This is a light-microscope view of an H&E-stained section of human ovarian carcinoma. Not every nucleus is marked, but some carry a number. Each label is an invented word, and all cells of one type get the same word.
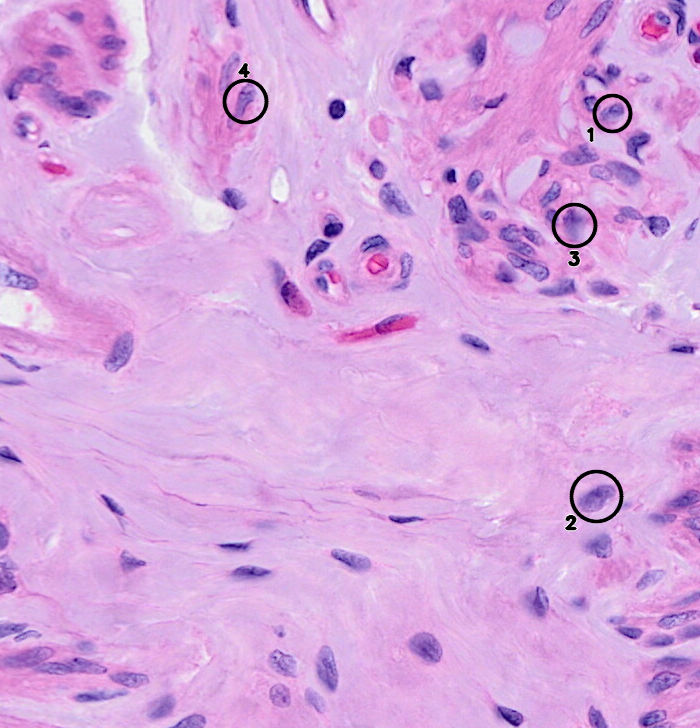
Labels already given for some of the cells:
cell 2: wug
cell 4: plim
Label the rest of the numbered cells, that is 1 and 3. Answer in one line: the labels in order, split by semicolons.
plim; plim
